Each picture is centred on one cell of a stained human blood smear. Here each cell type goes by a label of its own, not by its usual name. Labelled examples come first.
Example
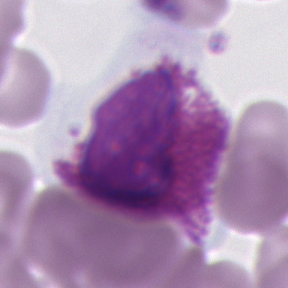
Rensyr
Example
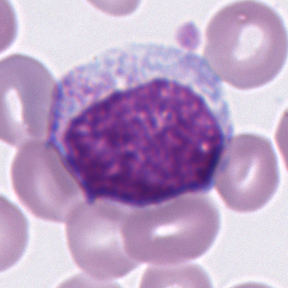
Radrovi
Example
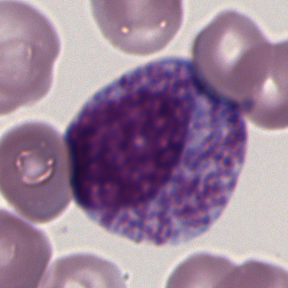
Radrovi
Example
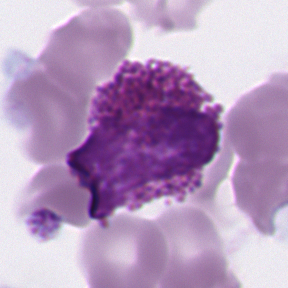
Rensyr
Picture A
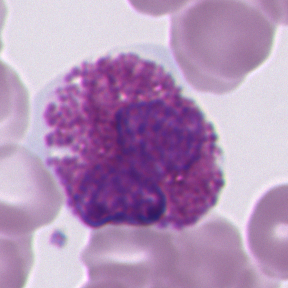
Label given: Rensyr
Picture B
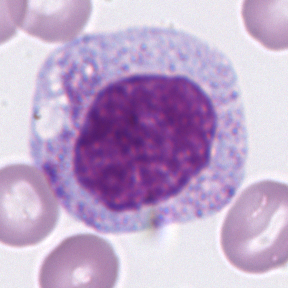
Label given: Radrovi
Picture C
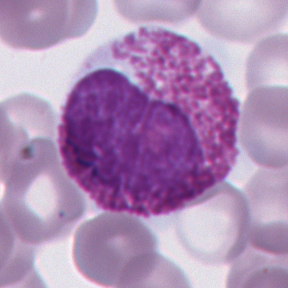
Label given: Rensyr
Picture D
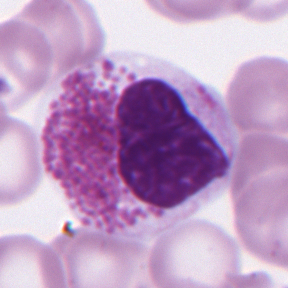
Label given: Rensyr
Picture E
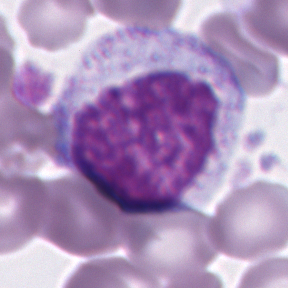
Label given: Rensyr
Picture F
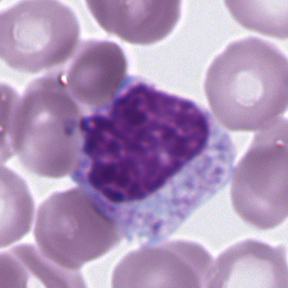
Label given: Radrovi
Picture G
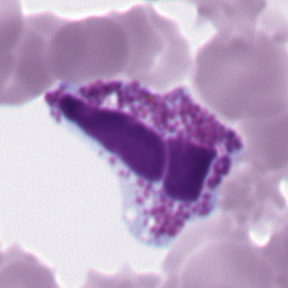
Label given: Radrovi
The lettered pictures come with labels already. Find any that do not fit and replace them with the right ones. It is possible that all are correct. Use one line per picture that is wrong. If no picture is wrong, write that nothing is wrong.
E is labelled Rensyr; correct label: Radrovi
G is labelled Radrovi; correct label: Rensyr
